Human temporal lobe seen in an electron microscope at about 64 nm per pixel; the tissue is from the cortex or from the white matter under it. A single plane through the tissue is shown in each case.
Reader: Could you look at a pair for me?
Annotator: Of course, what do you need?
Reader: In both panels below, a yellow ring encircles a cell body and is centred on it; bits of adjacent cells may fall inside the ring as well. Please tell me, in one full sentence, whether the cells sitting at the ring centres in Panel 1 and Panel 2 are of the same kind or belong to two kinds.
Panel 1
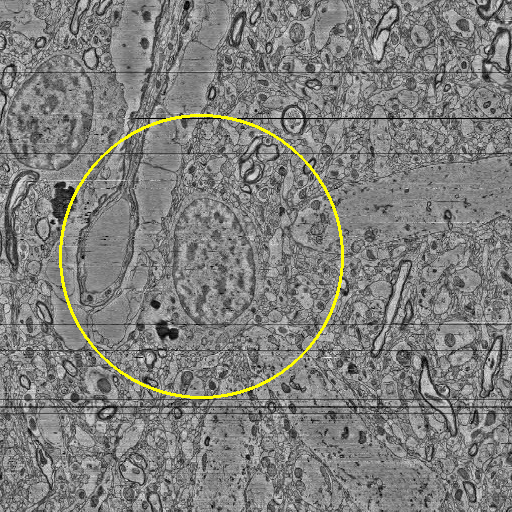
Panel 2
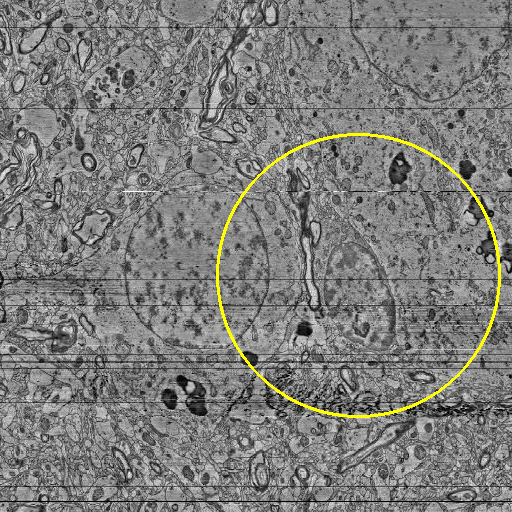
The cell at the ring's centre in Panel 1 and the one in Panel 2 are of the same kind.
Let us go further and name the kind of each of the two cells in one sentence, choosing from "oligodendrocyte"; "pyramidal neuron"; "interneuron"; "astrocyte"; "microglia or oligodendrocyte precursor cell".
The ring centre holds an oligodendrocyte in each of the two pictures.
